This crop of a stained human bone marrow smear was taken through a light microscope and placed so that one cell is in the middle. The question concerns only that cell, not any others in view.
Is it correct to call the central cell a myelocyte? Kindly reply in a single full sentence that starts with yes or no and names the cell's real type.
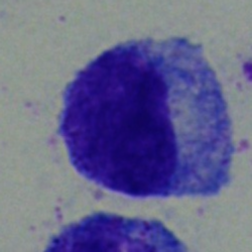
Yes, the central cell here is a myelocyte.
